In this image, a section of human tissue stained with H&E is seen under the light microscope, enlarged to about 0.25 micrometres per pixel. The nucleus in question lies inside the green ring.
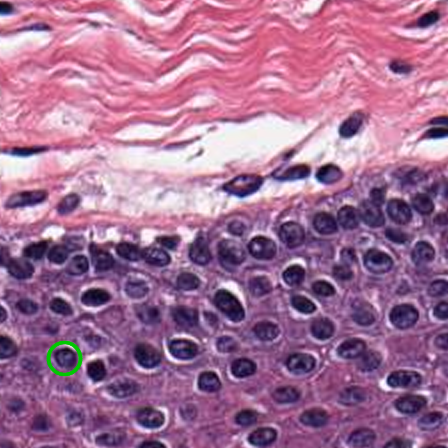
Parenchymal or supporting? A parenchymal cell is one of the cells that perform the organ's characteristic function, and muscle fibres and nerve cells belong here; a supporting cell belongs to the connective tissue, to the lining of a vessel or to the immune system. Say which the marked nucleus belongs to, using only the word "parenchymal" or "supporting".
parenchymal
